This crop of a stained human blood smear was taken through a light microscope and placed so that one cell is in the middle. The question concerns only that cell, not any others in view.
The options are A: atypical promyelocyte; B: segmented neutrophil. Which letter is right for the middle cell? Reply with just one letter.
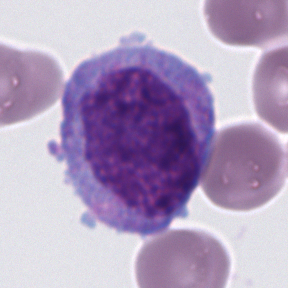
A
